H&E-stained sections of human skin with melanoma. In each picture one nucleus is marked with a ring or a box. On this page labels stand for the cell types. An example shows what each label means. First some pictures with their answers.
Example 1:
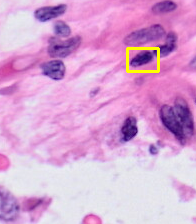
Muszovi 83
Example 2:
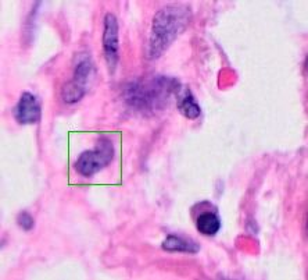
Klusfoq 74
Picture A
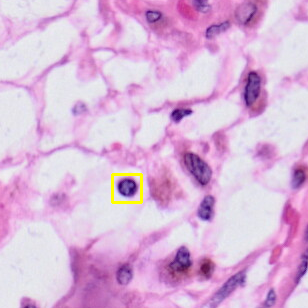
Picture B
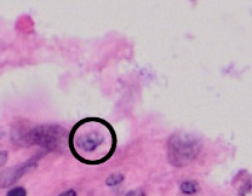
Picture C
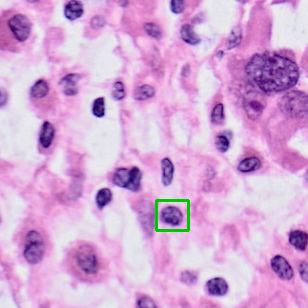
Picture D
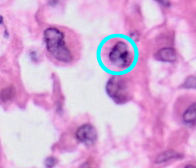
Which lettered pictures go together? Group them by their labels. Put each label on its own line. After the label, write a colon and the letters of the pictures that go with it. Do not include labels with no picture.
Muszovi 83: A, B, C
Klusfoq 74: D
